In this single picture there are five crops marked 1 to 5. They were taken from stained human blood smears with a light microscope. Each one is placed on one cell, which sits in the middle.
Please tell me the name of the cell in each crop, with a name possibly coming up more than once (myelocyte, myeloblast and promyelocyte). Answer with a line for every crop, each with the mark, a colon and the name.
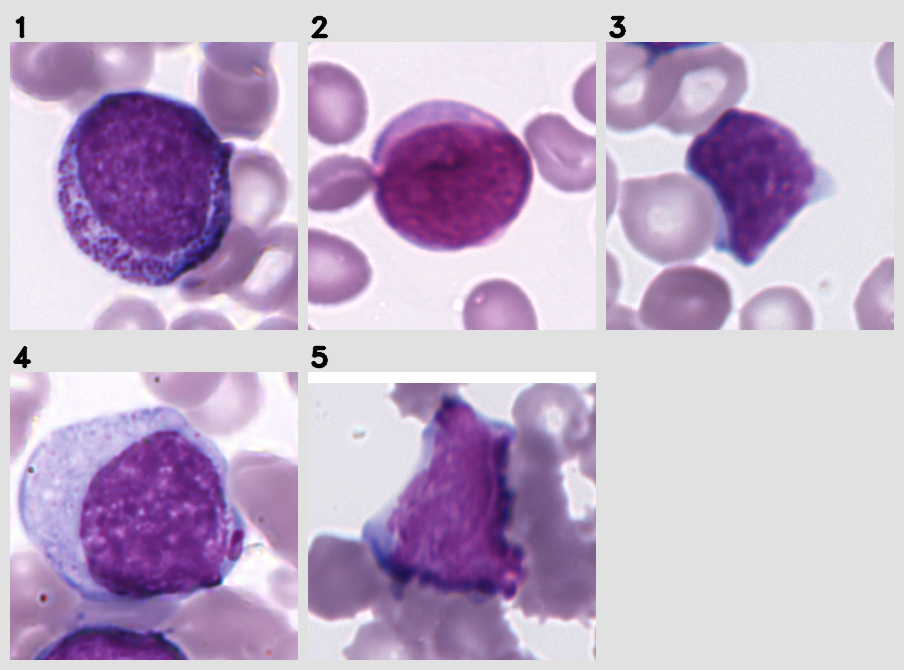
1: promyelocyte
2: myeloblast
3: myeloblast
4: promyelocyte
5: myeloblast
